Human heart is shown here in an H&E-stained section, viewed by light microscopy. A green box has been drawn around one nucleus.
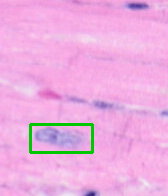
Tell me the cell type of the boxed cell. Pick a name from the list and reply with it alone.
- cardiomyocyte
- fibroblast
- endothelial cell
cardiomyocyte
